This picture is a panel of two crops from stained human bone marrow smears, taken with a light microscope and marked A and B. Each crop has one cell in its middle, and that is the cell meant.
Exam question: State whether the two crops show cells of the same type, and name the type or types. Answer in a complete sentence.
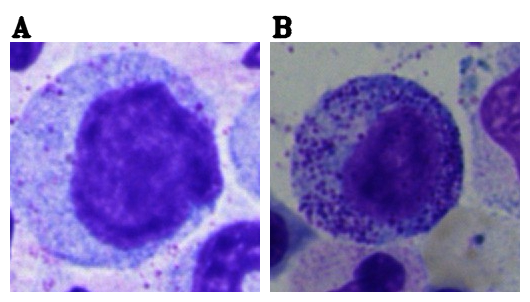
Yes, the two crops show promyelocytes, one cell each.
